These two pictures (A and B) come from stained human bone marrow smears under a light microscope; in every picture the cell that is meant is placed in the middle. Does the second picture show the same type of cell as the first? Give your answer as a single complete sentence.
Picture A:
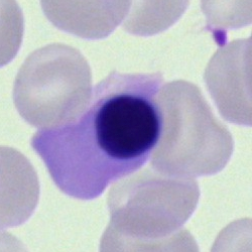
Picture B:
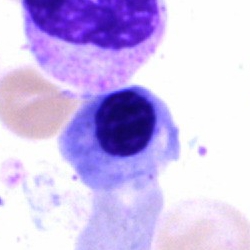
Yes, they are the same type: both are erythroblasts.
